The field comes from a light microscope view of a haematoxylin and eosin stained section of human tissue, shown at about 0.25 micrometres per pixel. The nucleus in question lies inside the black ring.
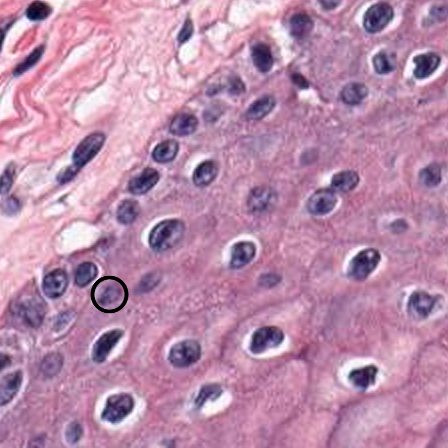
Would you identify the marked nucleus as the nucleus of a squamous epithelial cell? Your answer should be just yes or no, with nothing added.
yes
